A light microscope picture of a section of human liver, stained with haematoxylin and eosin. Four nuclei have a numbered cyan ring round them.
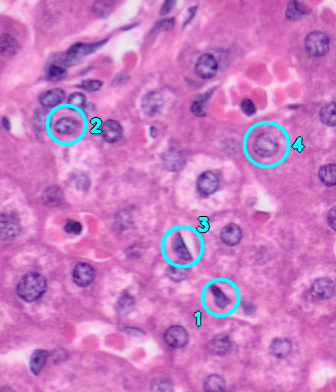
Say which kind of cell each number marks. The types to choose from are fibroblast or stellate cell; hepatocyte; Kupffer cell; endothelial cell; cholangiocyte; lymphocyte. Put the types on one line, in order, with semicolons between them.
lymphocyte; cholangiocyte; endothelial cell; hepatocyte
